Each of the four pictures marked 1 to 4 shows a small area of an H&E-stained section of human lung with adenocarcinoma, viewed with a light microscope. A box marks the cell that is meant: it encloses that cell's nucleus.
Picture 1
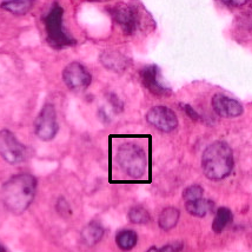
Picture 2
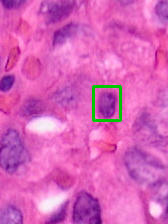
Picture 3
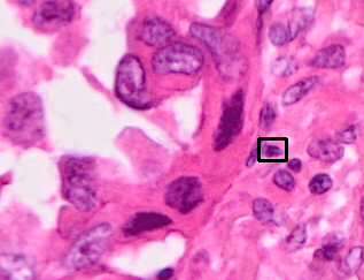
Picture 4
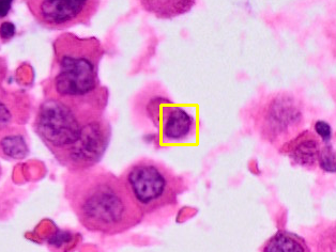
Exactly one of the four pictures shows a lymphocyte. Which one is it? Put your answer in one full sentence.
The cell in picture 3 is the lymphocyte.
